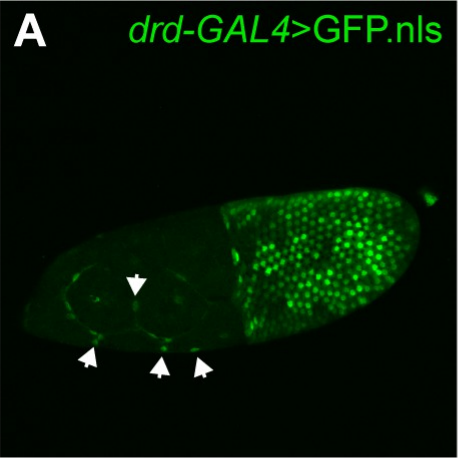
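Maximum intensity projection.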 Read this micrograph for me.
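Oval egg chamber with follicle cell nuclei shown as green dots. The right half is covered by a dense, regular layer of small round green nuclei over the oocyte. The left half contains few nuclei, only scattered faint green nuclei of thin flattened cells at the surface. Faint curved outlines within the left half mark large cells lying beneath this thin covering. The boundary between the densely covered and sparsely covered regions is sharp.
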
